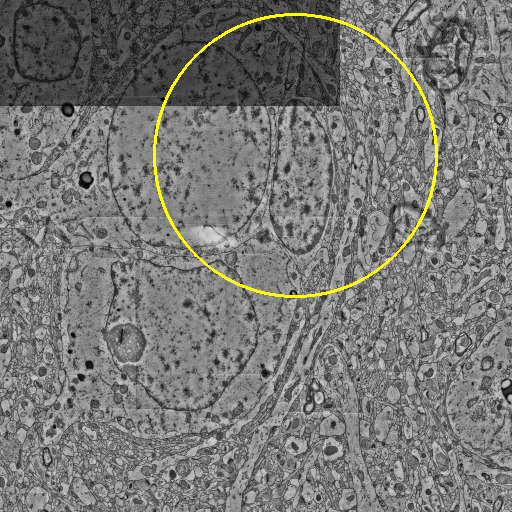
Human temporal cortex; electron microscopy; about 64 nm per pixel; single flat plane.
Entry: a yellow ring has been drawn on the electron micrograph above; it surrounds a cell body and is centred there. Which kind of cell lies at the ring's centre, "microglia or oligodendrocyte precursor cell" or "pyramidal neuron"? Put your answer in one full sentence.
The cell sitting at the ring's centre is a microglial cell or oligodendrocyte precursor cell in the micrograph above.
